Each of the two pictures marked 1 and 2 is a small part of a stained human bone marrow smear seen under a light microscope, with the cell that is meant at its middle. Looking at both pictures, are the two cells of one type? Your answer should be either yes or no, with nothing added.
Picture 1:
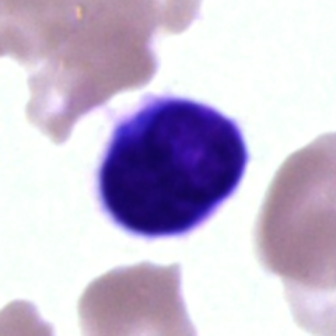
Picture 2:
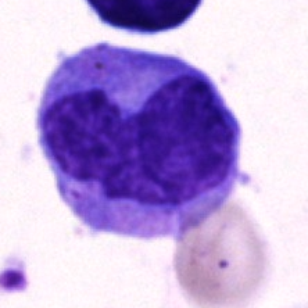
no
